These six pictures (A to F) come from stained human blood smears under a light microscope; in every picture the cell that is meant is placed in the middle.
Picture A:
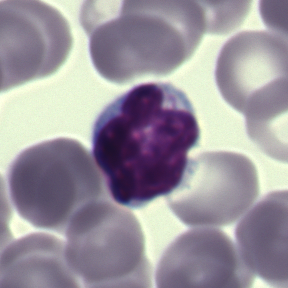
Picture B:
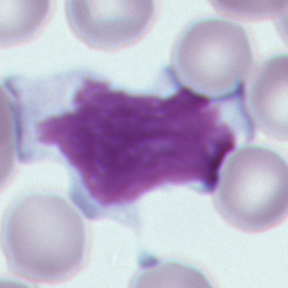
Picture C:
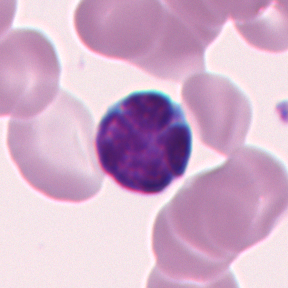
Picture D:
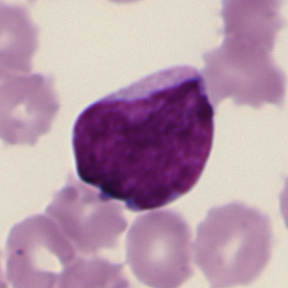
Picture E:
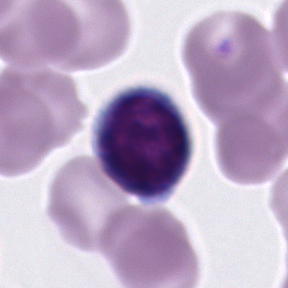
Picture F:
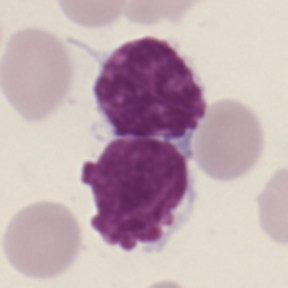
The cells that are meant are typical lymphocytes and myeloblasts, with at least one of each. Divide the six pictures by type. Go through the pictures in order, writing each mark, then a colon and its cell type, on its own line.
A: typical lymphocyte
B: typical lymphocyte
C: typical lymphocyte
D: myeloblast
E: typical lymphocyte
F: myeloblast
